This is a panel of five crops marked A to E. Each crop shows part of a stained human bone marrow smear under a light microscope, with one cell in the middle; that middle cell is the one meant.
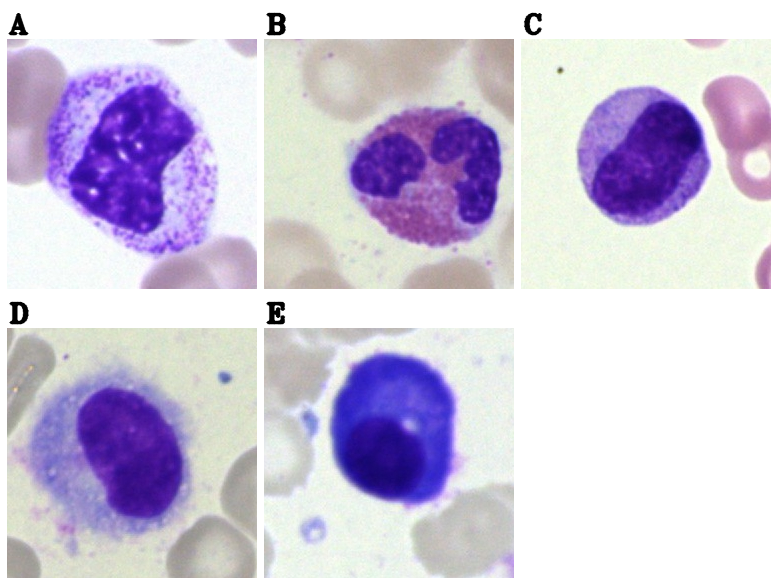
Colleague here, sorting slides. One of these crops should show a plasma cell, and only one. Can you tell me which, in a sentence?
Crop E alone, of all the crops, shows a plasma cell.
